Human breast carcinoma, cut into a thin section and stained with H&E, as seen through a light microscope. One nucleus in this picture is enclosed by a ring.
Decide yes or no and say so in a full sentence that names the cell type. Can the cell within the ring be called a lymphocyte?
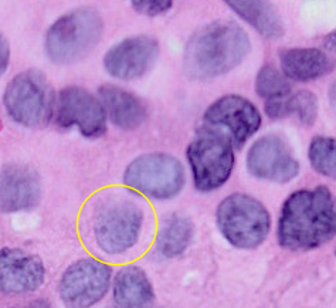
No, not quite: the cell within the ring is a carcinoma cell rather than a lymphocyte.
